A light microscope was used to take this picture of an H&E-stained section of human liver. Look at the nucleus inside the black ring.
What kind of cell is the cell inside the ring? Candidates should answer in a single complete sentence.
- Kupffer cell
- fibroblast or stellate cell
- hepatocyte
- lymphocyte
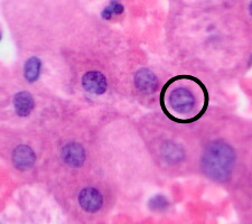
Students should answer that the cell inside the ring is a hepatocyte.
